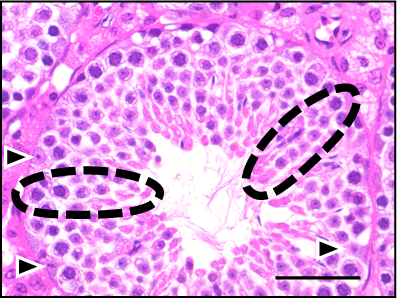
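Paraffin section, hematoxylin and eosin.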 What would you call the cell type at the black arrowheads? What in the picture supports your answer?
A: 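The arrowheads point to cells lying against the base of the tubule. These nuclei are paler and less round than the germ cells around them. So: Sertoli cells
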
